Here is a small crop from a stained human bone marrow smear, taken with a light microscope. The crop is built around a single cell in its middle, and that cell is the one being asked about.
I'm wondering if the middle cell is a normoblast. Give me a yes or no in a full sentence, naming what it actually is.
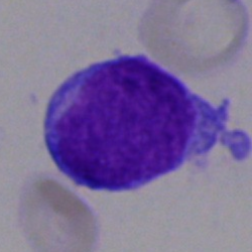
No, the middle of this crop is occupied by a blast rather than a normoblast.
